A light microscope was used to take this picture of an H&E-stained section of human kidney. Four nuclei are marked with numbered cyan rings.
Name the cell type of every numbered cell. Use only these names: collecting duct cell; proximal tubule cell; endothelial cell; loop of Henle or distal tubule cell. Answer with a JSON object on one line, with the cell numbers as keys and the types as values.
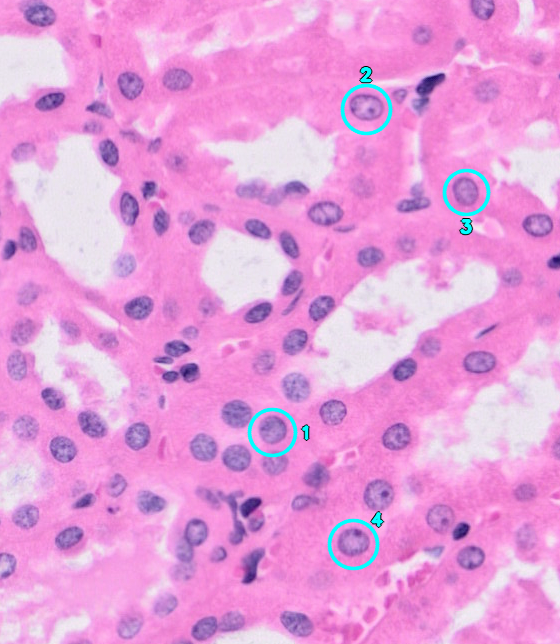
{"1": "loop of Henle or distal tubule cell", "2": "proximal tubule cell", "3": "proximal tubule cell", "4": "proximal tubule cell"}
